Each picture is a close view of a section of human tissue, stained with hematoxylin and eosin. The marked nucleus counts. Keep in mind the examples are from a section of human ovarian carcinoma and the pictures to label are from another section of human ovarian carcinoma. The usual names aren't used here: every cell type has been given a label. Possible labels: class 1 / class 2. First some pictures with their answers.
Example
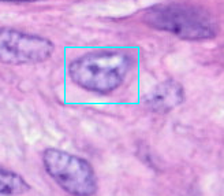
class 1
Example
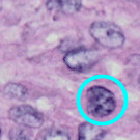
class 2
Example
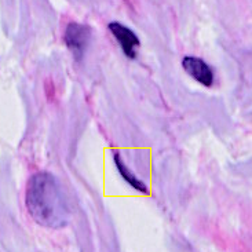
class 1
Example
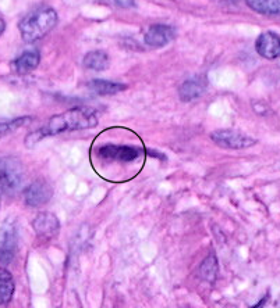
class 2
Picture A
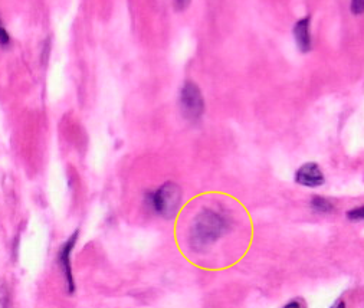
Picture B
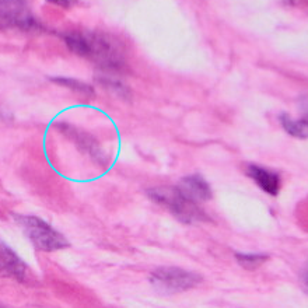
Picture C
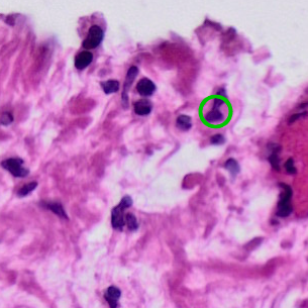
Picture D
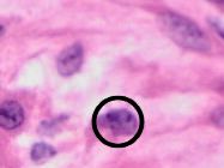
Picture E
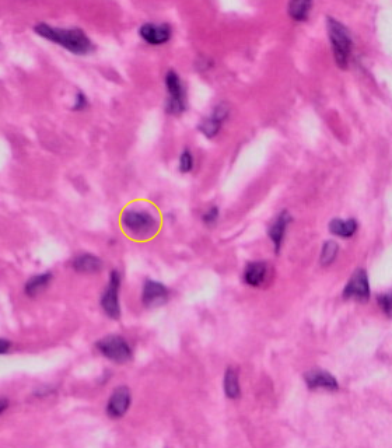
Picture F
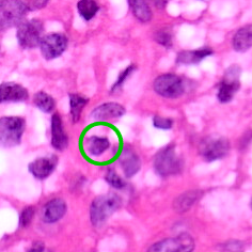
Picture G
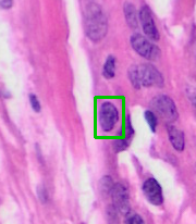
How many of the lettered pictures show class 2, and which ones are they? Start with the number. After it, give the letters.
4, namely C, D, F, G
